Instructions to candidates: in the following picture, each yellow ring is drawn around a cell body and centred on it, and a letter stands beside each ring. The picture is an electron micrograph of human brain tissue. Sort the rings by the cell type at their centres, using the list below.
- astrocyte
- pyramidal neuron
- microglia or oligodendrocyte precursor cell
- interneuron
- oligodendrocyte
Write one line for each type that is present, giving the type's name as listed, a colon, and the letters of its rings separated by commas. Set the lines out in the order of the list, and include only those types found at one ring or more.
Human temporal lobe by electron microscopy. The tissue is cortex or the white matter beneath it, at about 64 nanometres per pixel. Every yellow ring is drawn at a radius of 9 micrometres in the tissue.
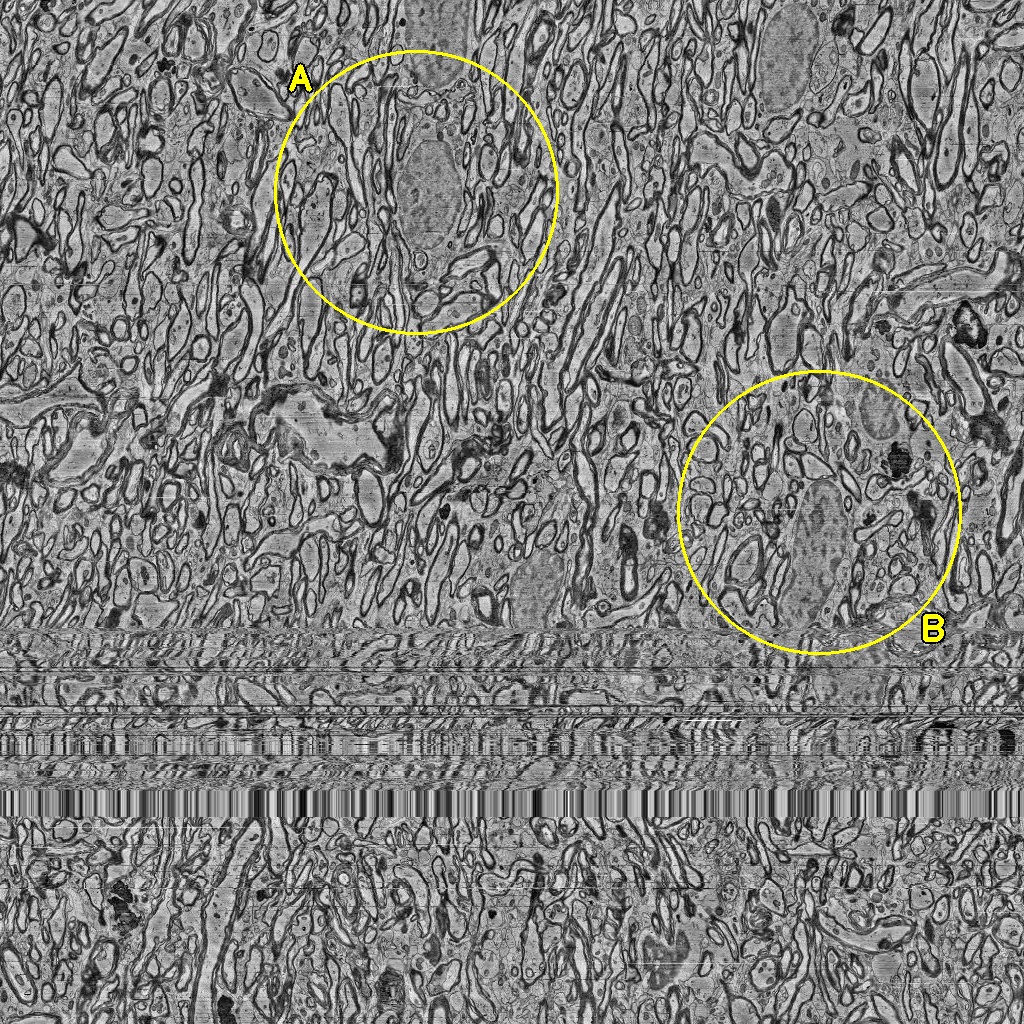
microglia or oligodendrocyte precursor cell: B
oligodendrocyte: A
